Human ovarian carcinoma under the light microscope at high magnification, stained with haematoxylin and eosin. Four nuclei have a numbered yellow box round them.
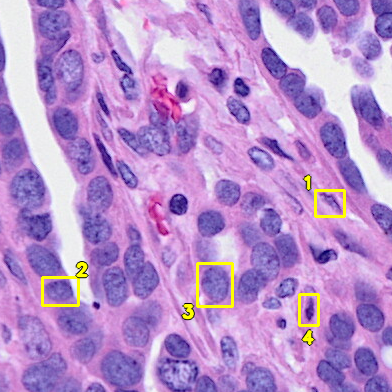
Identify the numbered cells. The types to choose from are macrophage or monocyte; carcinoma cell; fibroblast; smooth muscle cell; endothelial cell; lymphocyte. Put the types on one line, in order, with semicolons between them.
fibroblast; carcinoma cell; carcinoma cell; fibroblast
